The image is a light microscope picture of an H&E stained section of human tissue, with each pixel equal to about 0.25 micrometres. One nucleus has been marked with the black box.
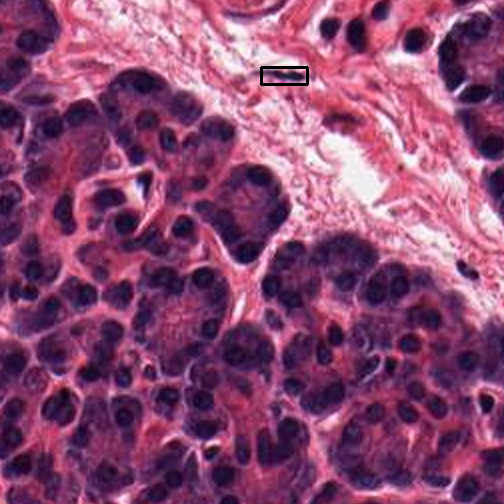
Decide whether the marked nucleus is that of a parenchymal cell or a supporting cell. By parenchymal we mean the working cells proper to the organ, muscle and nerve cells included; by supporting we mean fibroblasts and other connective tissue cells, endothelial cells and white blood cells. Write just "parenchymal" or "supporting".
supporting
